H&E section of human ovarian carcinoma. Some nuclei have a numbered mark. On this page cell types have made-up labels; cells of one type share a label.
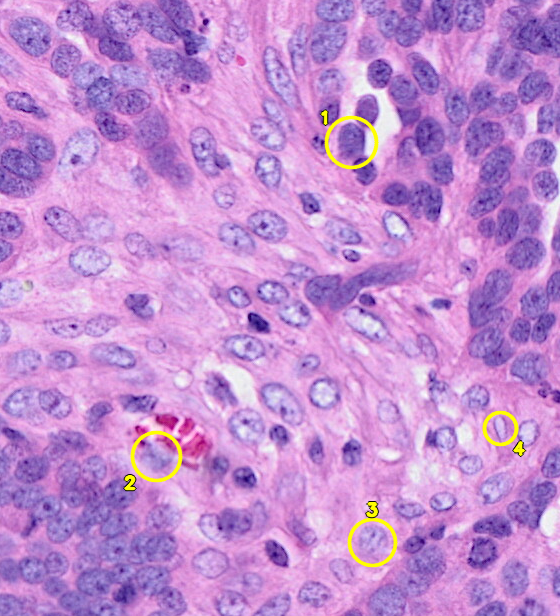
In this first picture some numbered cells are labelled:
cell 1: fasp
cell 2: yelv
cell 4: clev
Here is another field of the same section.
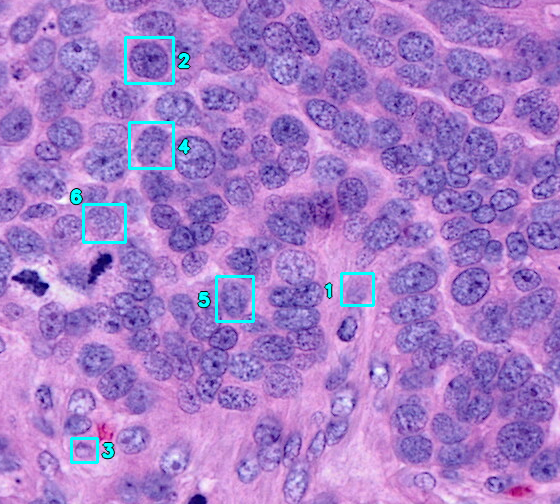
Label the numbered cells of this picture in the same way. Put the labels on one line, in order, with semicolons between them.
clev; fasp; yelv; fasp; fasp; fasp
